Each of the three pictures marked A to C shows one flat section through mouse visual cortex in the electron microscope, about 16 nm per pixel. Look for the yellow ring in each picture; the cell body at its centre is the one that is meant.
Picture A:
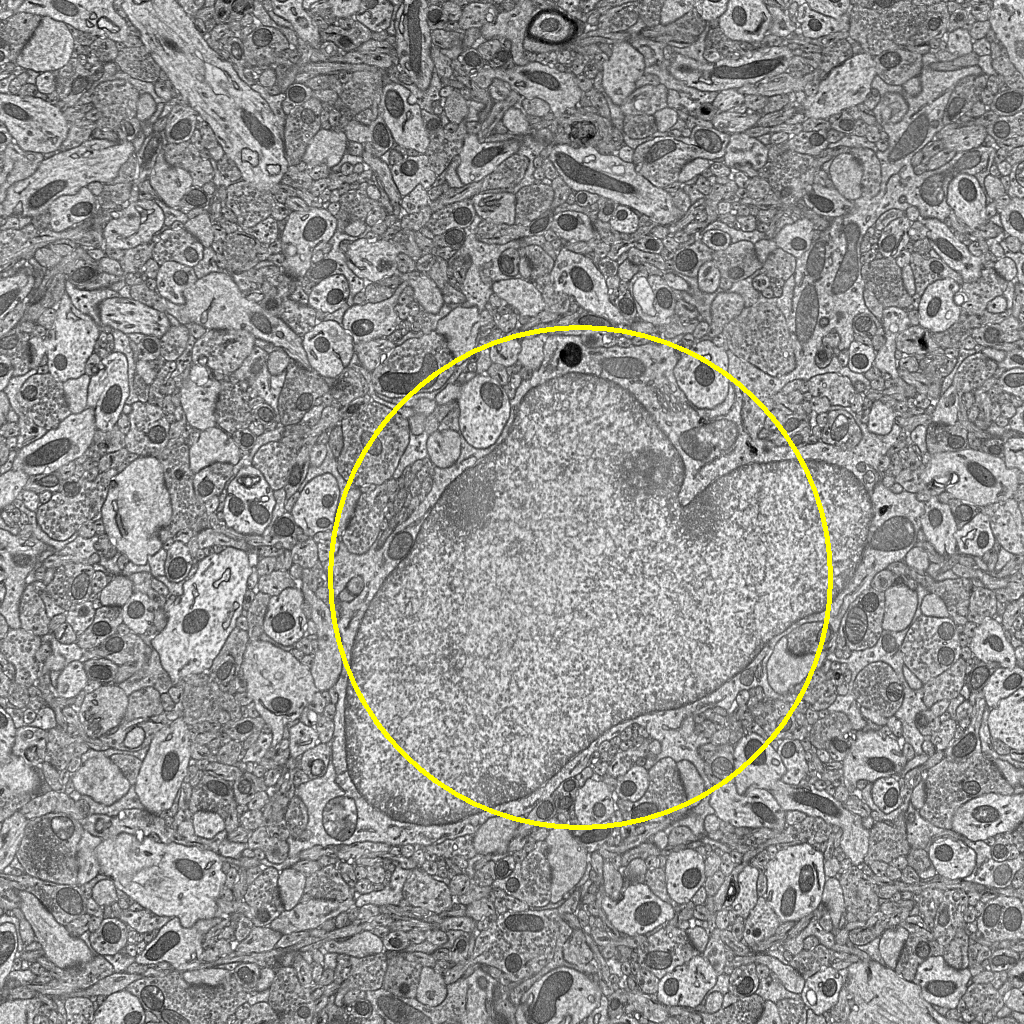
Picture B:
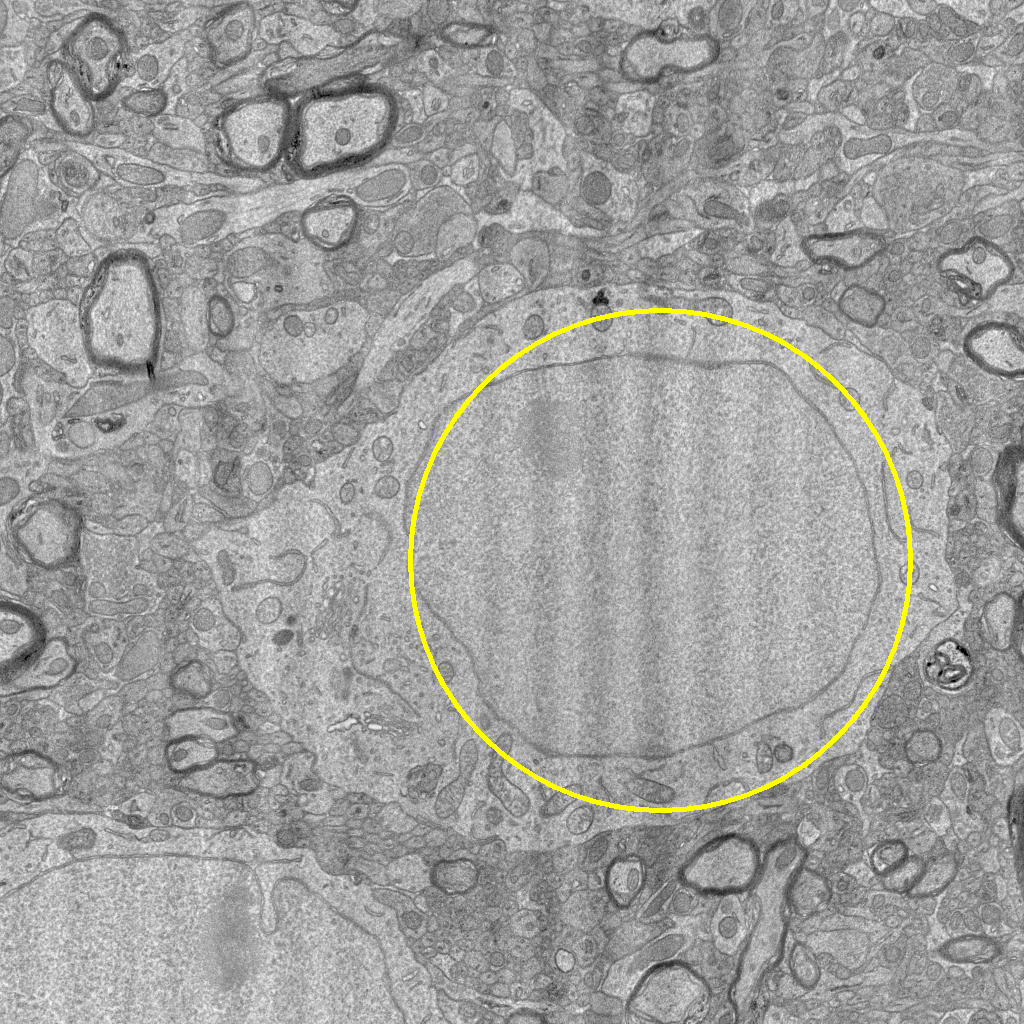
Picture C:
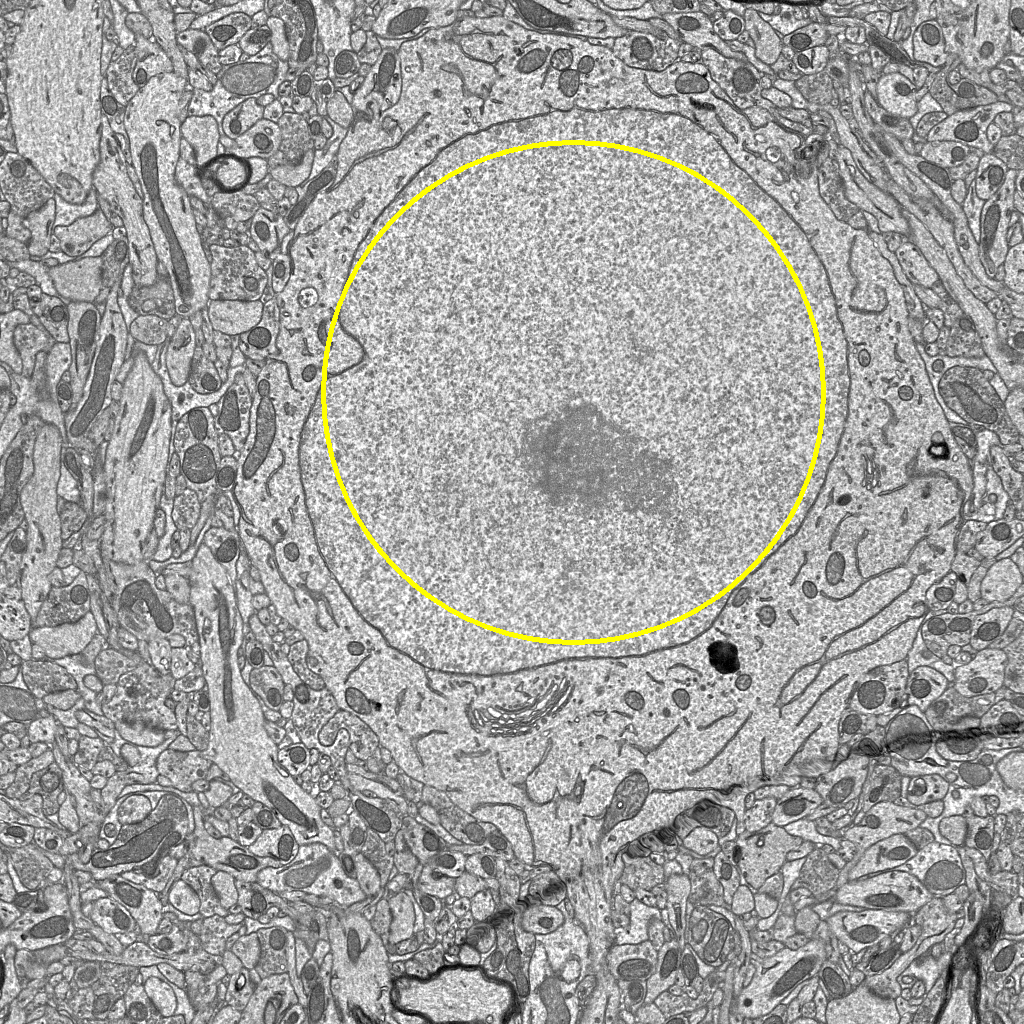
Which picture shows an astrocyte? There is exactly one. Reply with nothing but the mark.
A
